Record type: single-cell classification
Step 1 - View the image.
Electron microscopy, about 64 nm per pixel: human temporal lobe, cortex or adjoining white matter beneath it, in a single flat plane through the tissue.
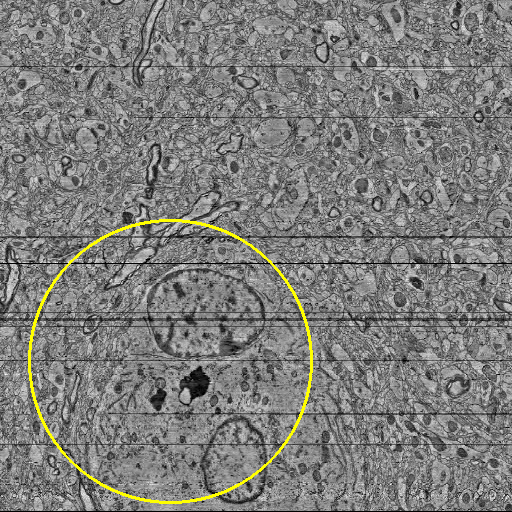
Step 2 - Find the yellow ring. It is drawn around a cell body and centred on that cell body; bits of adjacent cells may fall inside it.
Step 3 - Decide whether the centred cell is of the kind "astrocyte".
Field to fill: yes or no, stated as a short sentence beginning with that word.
No, the centred cell belongs to another kind.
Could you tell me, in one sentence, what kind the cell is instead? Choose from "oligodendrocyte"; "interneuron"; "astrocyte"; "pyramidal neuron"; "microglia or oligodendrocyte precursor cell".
Instead, the cell at the centre of the yellow ring is a microglial cell or oligodendrocyte precursor cell.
